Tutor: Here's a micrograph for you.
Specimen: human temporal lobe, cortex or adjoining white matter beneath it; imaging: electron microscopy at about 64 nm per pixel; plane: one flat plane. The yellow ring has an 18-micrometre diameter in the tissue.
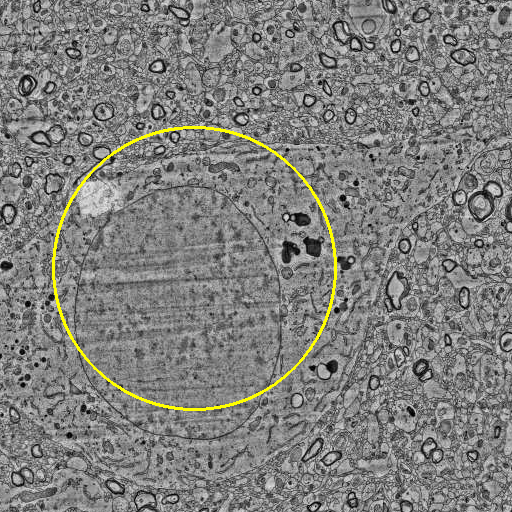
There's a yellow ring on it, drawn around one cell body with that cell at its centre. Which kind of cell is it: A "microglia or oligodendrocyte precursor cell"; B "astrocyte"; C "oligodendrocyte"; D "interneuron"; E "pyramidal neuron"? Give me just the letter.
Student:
E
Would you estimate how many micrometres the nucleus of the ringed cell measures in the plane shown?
In this plane the nucleus spans approximately 16 by 14 micrometers.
